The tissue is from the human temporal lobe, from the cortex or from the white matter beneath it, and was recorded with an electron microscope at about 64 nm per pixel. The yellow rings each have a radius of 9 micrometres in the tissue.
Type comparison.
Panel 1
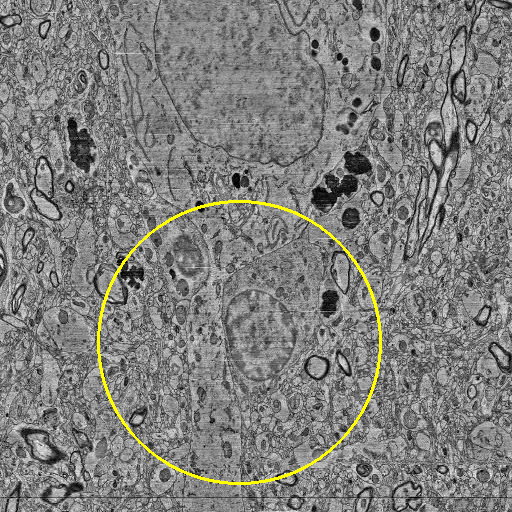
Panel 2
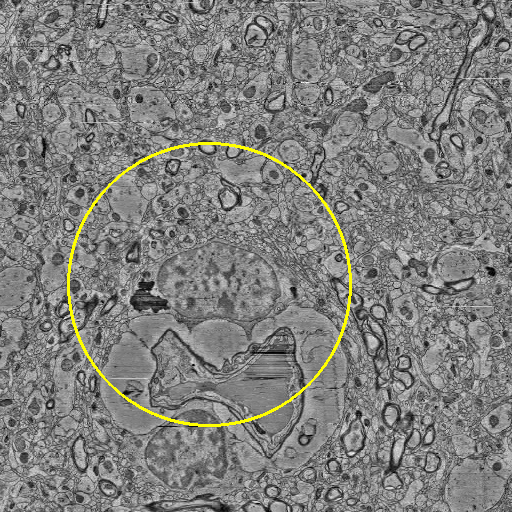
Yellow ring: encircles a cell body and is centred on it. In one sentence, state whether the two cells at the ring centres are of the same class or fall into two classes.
In these panels, the two cells at the ring centres are of the same class.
